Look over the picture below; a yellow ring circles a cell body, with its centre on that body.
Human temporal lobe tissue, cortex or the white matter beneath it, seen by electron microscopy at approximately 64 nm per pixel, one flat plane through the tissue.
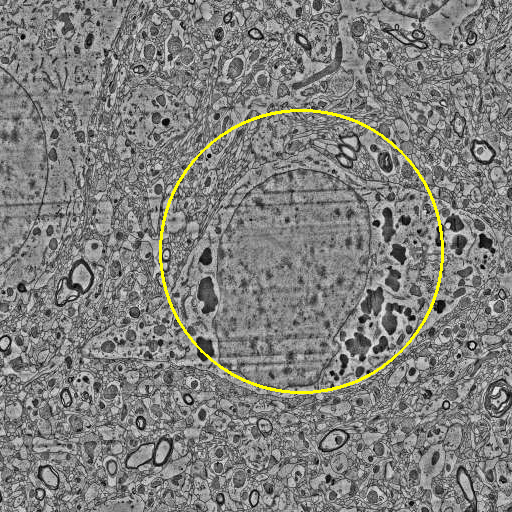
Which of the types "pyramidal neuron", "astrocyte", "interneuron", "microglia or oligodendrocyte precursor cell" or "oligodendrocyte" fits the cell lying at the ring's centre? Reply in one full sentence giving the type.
The picture shows an interneuron at the centre of the yellow ring.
